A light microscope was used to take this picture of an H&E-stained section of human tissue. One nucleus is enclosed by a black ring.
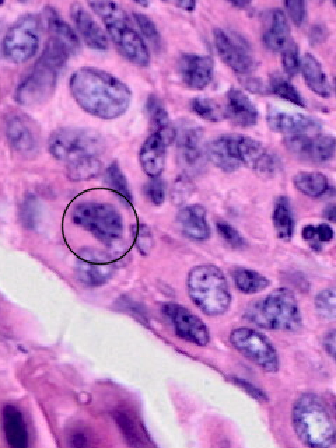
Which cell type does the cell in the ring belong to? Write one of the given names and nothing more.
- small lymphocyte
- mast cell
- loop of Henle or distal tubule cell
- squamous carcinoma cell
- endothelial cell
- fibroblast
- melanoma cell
squamous carcinoma cell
